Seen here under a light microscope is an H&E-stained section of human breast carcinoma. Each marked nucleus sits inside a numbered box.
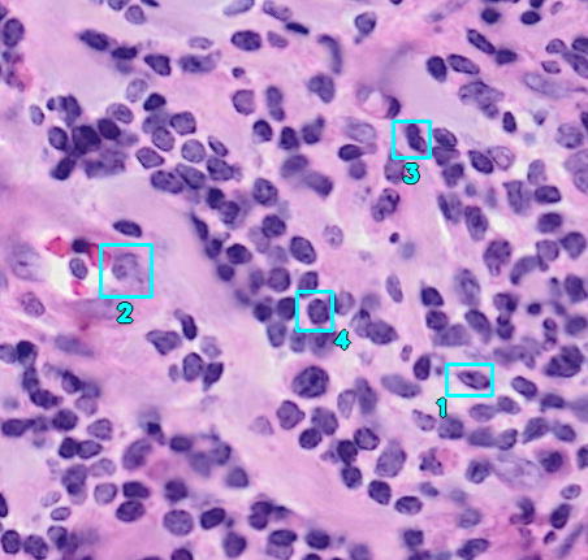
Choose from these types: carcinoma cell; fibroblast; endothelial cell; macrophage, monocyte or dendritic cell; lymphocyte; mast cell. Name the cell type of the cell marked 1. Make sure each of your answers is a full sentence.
The cell pointed out by number 1 is a lymphocyte.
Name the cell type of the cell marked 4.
The numeral 4 marks a lymphocyte in this section.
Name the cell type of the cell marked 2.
The cell with the number 2 is an endothelial cell.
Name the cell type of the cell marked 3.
The cell tagged with 3 in this tissue section is a lymphocyte.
